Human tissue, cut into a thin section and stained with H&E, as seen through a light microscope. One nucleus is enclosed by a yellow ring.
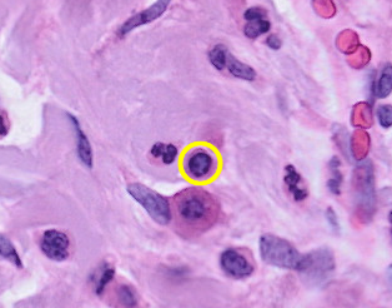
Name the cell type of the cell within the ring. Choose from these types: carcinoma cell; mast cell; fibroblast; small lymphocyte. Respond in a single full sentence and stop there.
Just put down that the cell within the ring is a mast cell.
